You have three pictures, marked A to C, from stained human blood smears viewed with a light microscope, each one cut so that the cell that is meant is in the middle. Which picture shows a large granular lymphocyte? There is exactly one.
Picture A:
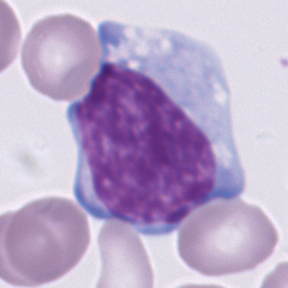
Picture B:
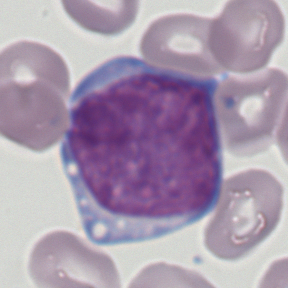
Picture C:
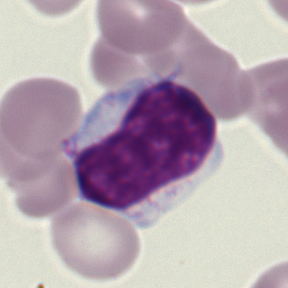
C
